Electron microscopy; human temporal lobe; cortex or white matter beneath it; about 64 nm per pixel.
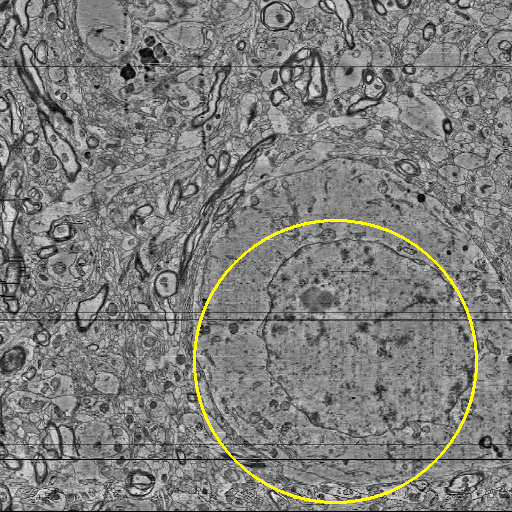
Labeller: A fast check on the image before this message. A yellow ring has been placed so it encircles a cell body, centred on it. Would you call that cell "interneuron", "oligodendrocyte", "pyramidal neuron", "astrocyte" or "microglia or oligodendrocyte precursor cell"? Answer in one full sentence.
In this image, a pyramidal neuron is the cell on which the yellow ring is centred.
